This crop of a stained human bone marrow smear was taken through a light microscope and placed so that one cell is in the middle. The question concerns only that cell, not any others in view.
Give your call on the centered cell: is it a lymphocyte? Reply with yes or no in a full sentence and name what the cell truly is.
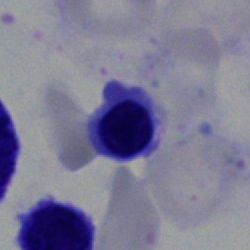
No, the cell at the centre is a normoblast, which rules out a lymphocyte.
